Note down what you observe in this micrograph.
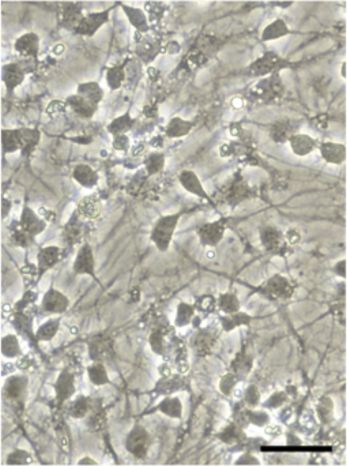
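Many have rounded or pyramidal, phase-dark cell bodies. Thin processes extend from them and form a meshwork across the field.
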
